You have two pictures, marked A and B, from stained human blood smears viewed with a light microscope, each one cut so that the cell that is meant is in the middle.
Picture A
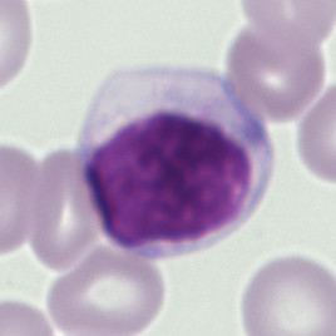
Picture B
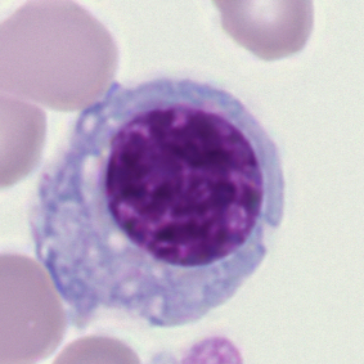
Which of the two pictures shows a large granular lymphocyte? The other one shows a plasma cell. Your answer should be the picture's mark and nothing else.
A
